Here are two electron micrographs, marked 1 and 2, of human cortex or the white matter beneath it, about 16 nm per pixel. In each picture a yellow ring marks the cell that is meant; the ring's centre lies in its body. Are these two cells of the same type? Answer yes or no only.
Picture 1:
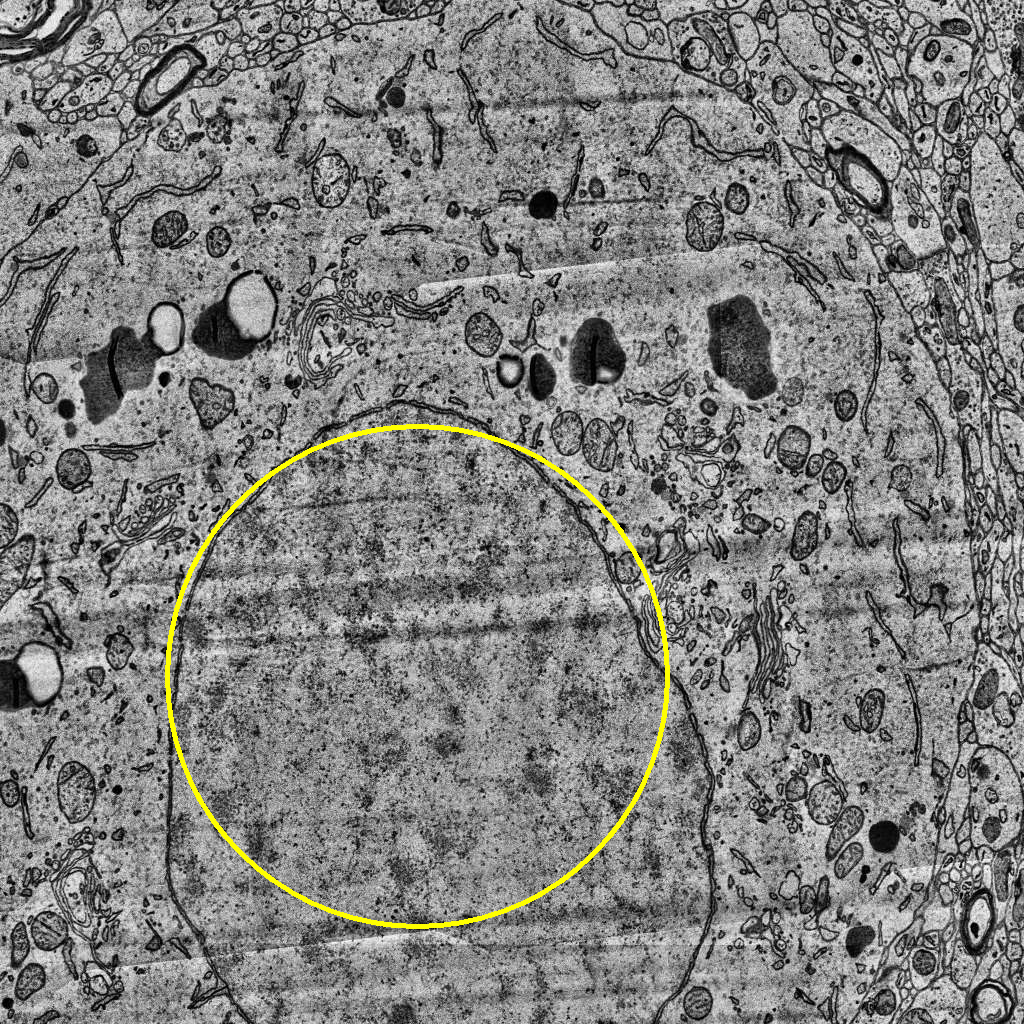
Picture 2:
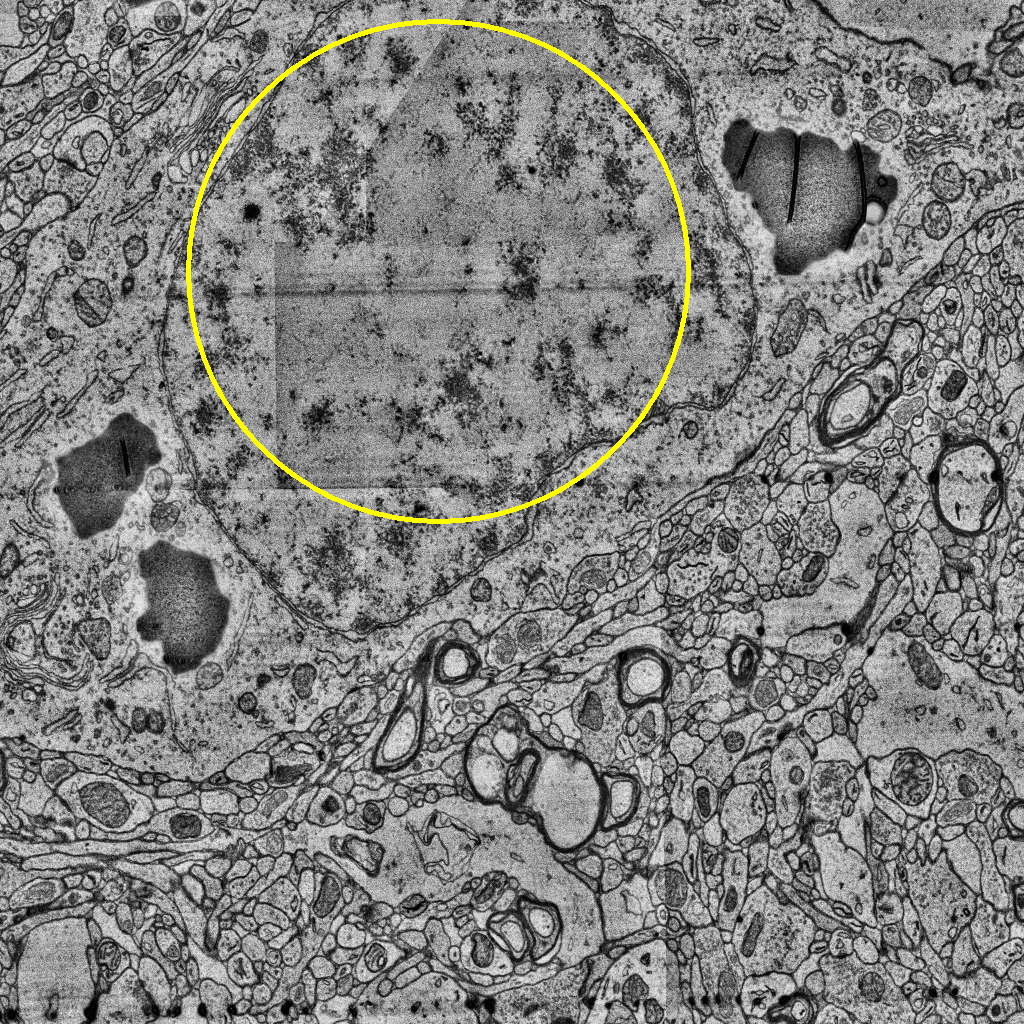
no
